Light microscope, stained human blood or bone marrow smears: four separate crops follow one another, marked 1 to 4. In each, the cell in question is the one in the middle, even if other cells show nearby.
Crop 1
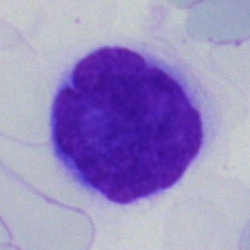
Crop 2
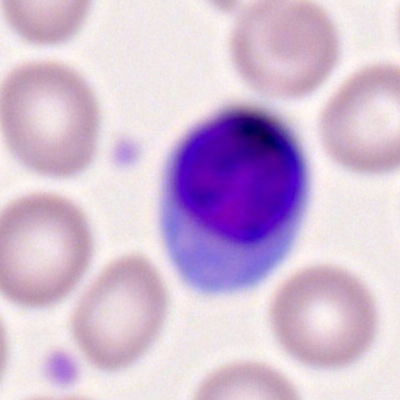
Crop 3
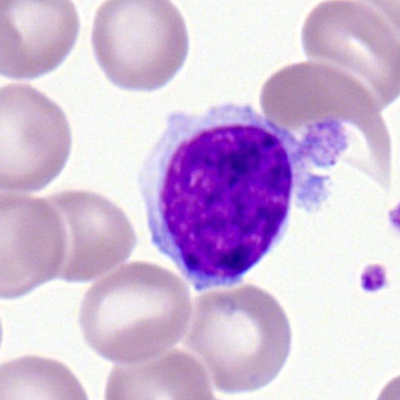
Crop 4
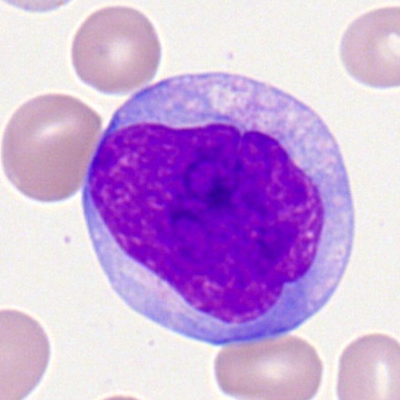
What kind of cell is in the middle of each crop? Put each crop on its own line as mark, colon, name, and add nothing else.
1: blast
2: lymphocyte
3: lymphocyte
4: blast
